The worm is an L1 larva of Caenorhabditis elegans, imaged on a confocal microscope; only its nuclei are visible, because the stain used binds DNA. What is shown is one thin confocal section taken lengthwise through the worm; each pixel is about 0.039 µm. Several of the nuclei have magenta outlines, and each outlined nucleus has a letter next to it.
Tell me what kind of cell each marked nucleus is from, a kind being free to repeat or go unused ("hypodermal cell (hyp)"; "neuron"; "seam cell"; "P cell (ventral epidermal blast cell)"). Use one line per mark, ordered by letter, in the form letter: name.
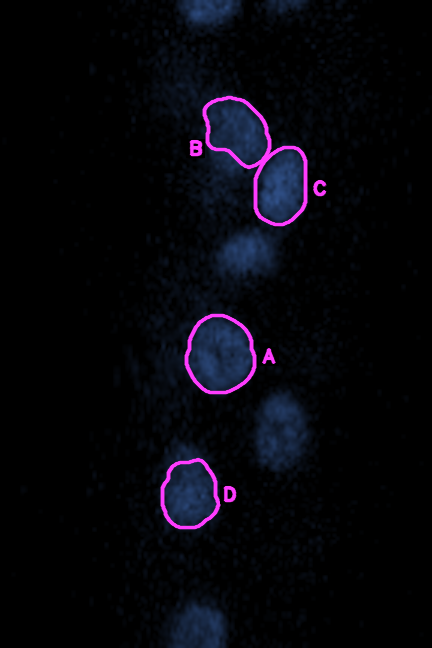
A: seam cell
B: P cell (ventral epidermal blast cell)
C: neuron
D: P cell (ventral epidermal blast cell)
